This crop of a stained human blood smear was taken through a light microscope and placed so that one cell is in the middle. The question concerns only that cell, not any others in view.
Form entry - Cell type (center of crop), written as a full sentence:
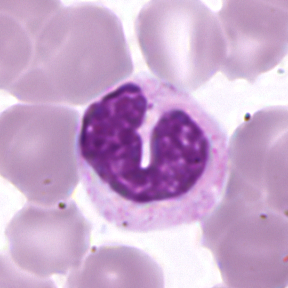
The crop shows a band neutrophil in its centre.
